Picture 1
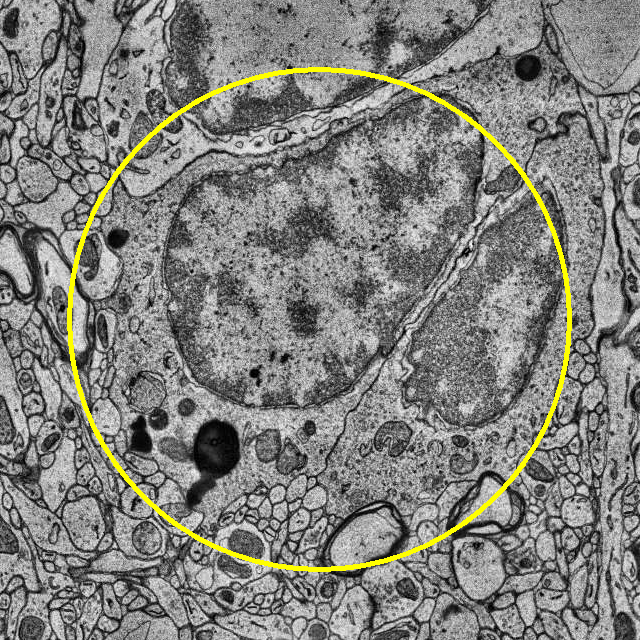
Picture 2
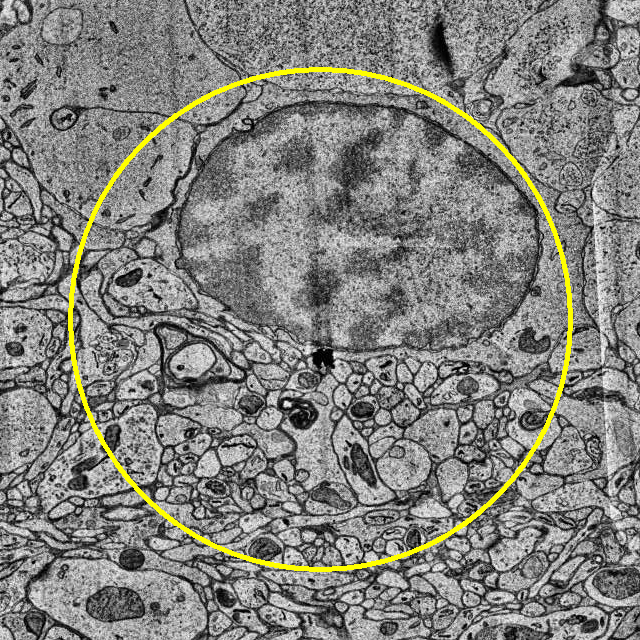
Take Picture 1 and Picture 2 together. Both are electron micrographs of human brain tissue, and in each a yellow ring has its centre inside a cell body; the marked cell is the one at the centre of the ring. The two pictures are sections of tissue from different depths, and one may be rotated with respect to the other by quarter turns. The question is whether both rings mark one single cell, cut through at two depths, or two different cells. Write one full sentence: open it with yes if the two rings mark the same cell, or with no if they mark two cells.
No, it is two different cells that the rings mark.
